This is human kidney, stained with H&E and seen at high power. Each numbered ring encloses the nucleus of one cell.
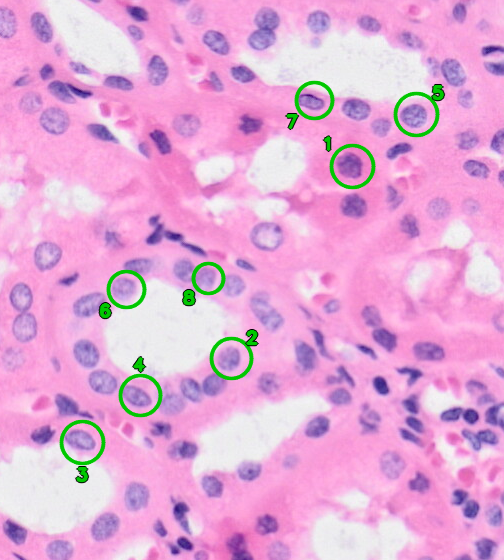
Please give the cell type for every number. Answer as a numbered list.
1. proximal tubule cell
2. collecting duct cell
3. loop of Henle or distal tubule cell
4. collecting duct cell
5. loop of Henle or distal tubule cell
6. collecting duct cell
7. loop of Henle or distal tubule cell
8. collecting duct cell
